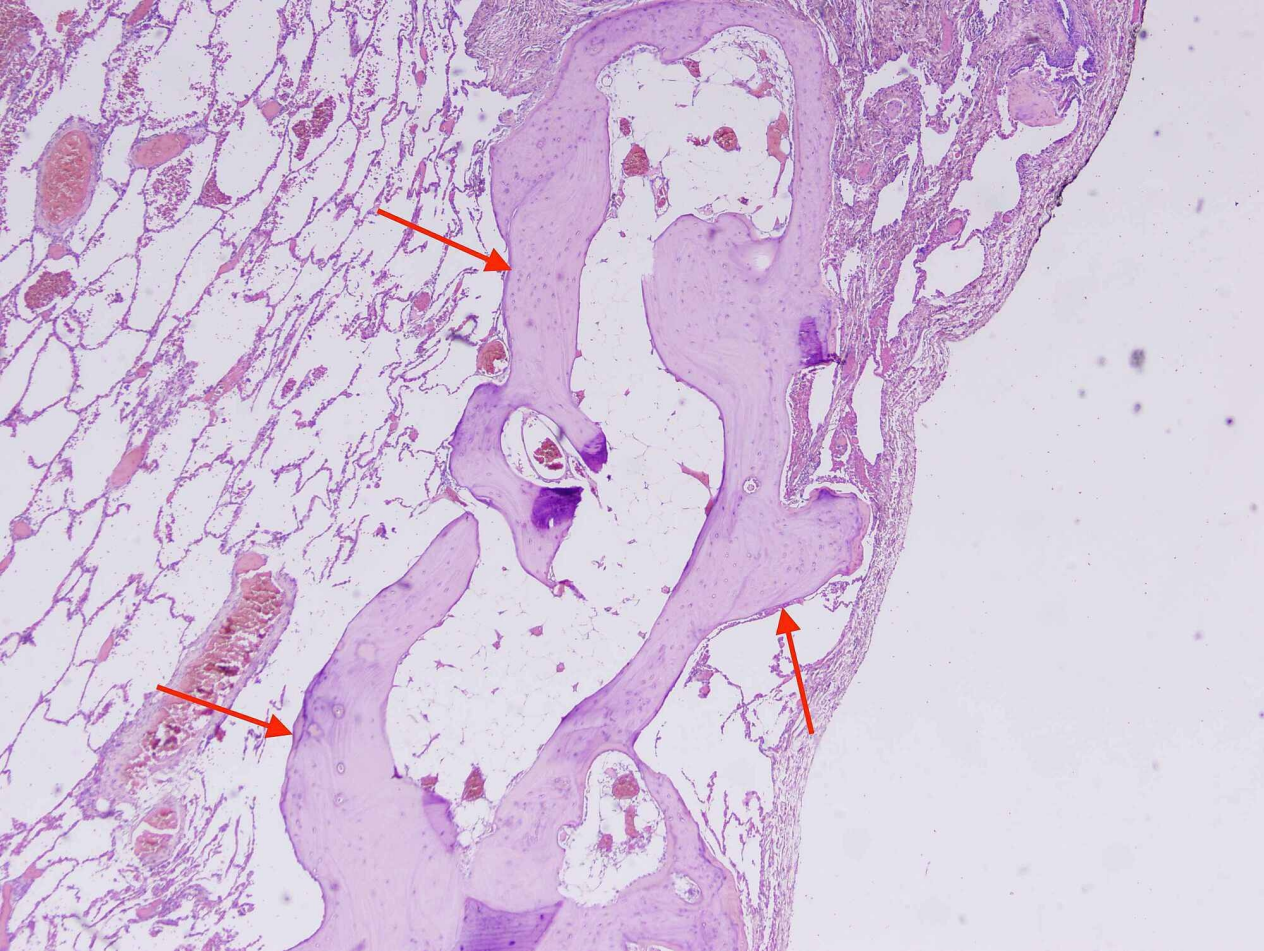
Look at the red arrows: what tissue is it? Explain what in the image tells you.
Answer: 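Broad, smooth, homogeneous pink trabeculae with small scattered cells sitting in lacunae. The trabeculae branch and enclose spaces filled with fat-like empty vacuoles and small vessels. The trabeculae lie among thin-walled air spaces of the lung.
Mature bone.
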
